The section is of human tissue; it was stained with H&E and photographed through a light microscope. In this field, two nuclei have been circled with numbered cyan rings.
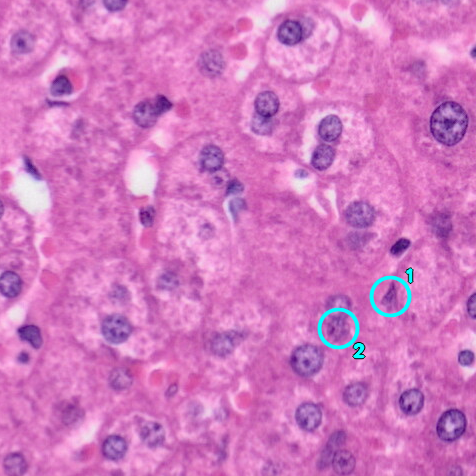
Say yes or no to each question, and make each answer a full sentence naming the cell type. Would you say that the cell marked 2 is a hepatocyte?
Yes, to put it simply, cell number 2 is a hepatocyte.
